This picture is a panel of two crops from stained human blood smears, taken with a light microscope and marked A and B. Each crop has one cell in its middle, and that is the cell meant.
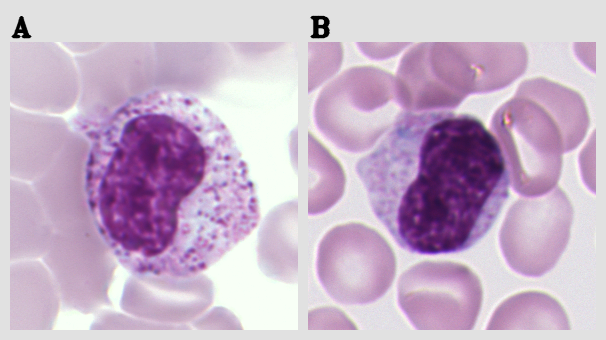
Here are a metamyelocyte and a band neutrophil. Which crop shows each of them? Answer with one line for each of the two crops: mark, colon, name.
A: metamyelocyte
B: band neutrophil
